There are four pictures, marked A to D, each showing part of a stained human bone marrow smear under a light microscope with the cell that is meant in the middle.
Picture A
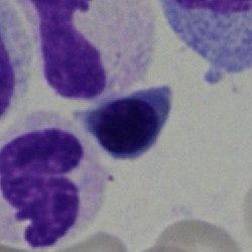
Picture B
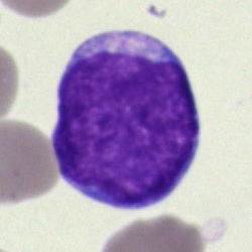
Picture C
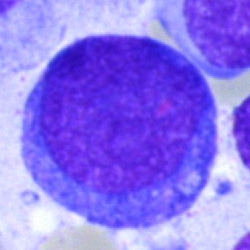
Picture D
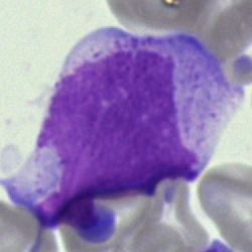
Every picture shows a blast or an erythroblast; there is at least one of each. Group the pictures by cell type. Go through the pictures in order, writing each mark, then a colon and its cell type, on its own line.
A: erythroblast
B: blast
C: blast
D: blast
